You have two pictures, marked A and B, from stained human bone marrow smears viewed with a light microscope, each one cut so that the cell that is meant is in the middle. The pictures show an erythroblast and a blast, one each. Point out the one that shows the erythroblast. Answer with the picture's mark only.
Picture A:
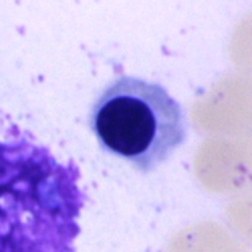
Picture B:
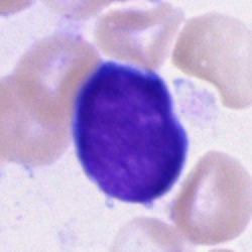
A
